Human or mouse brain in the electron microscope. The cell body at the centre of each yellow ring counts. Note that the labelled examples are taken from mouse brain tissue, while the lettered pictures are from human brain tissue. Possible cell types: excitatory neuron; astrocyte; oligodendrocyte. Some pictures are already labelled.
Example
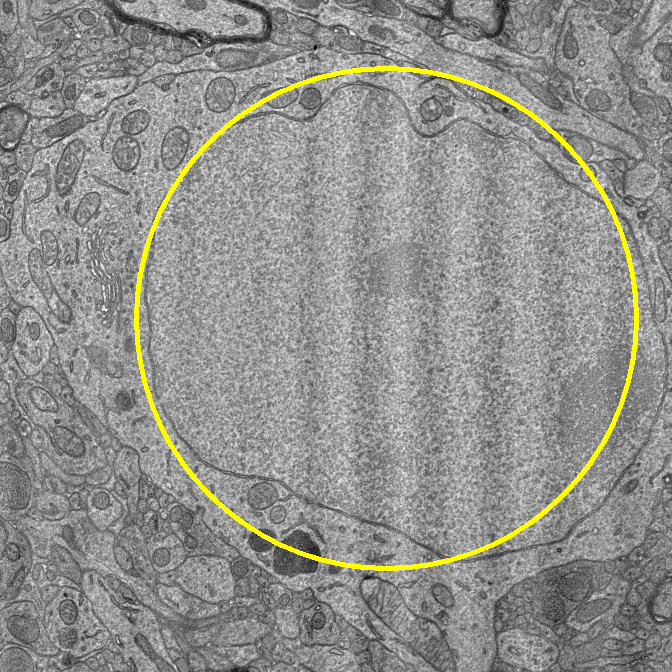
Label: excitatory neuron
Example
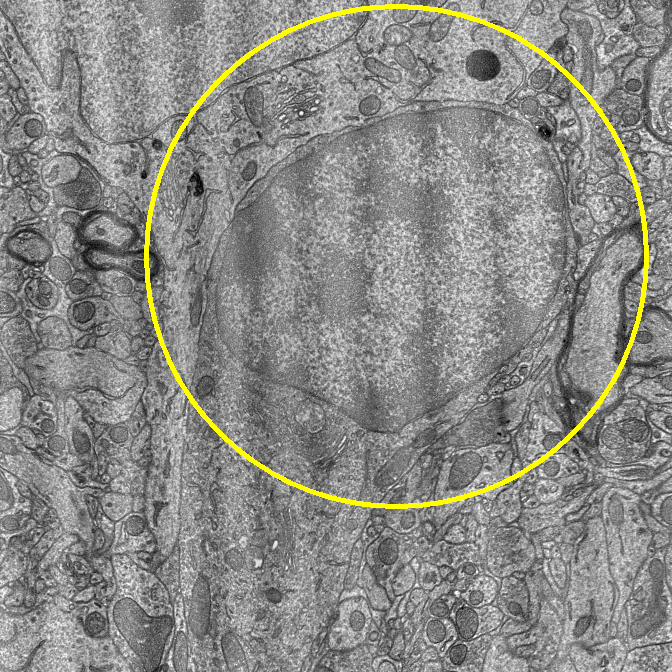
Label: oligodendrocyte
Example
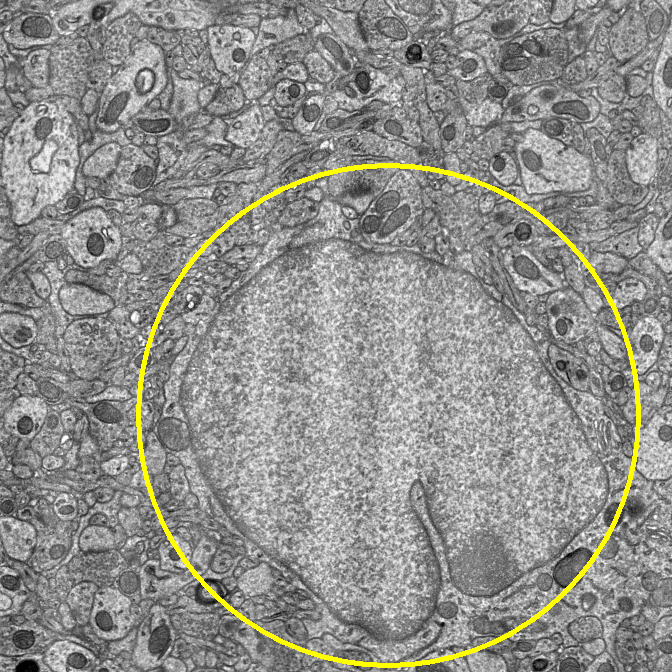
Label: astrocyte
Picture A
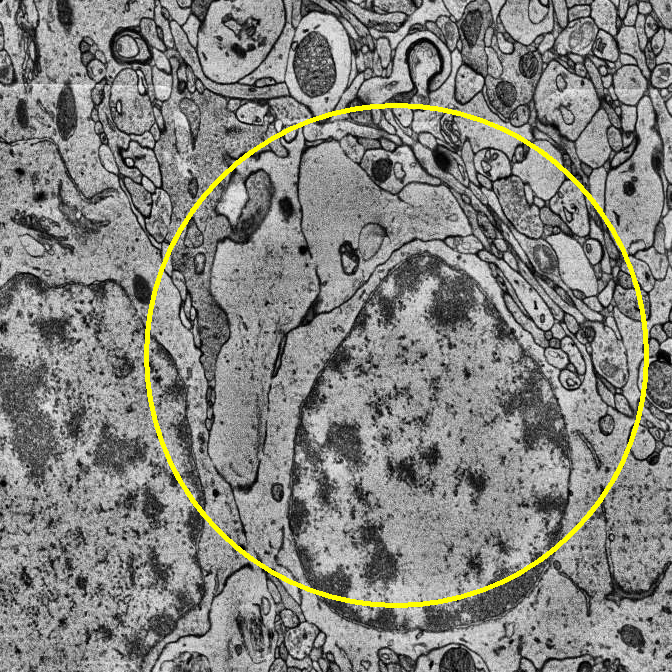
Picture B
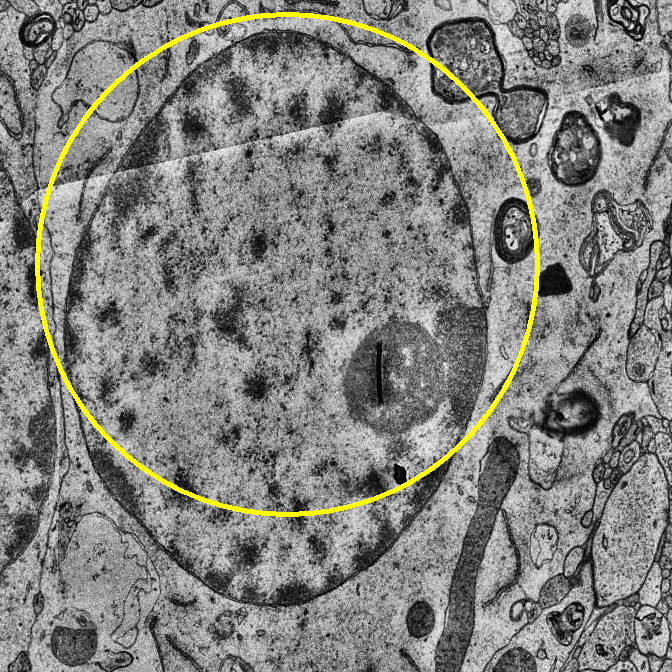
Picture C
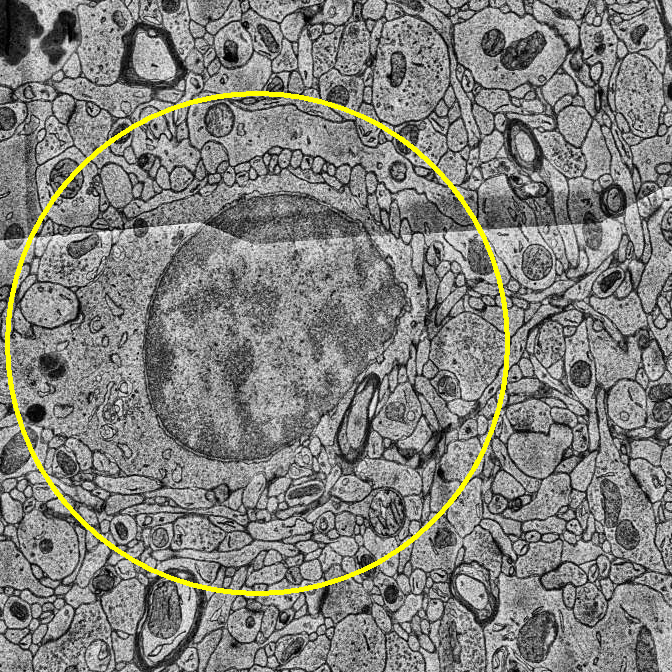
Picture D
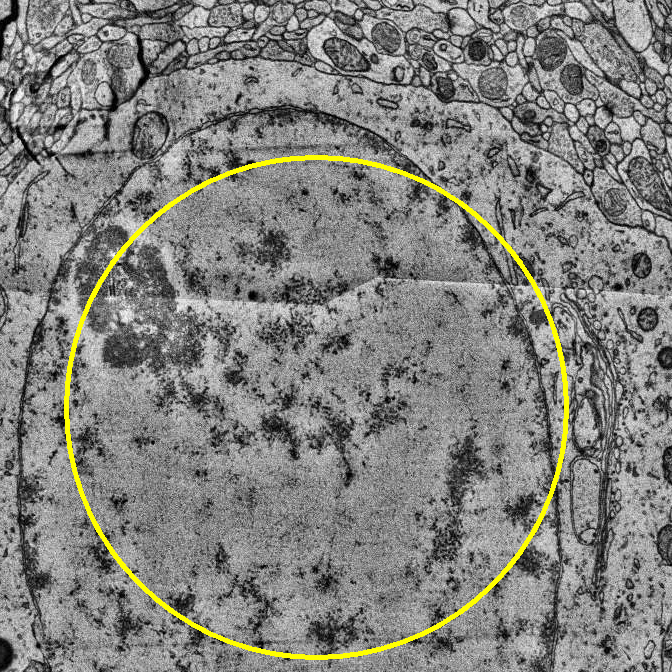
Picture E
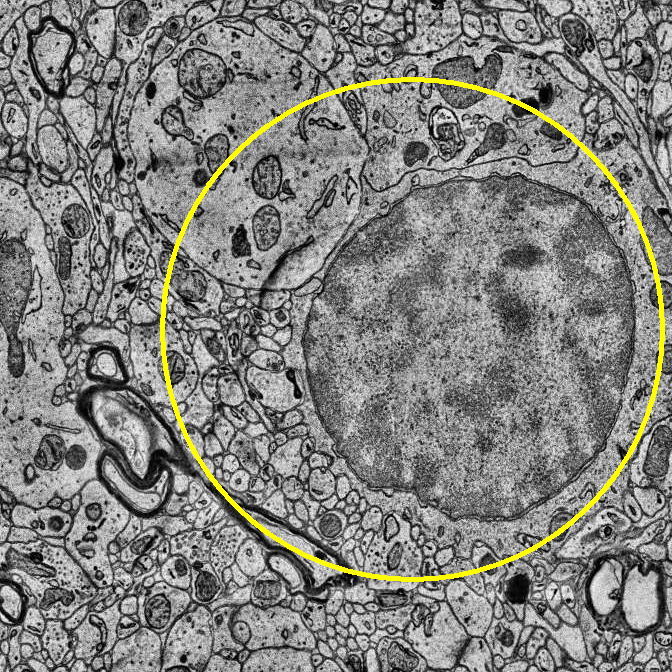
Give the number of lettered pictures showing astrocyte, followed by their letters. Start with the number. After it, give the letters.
2: A, B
